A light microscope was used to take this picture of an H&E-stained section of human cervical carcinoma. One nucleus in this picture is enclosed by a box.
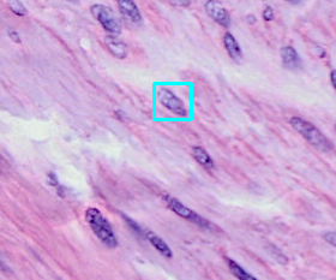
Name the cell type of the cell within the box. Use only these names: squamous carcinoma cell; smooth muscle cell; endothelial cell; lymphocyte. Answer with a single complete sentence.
Among the cells in this section, the cell within the box is a smooth muscle cell.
